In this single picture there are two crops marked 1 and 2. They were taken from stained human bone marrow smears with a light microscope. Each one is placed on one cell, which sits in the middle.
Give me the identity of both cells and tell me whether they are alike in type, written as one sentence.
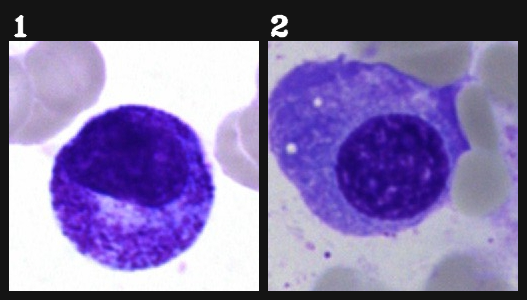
No, a promyelocyte is depicted by crop 1, a plasma cell by crop 2.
